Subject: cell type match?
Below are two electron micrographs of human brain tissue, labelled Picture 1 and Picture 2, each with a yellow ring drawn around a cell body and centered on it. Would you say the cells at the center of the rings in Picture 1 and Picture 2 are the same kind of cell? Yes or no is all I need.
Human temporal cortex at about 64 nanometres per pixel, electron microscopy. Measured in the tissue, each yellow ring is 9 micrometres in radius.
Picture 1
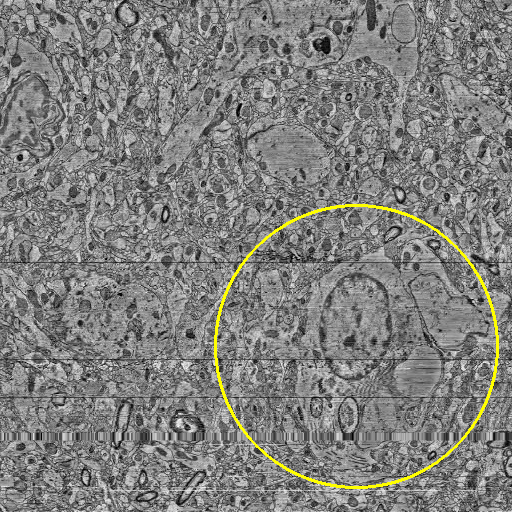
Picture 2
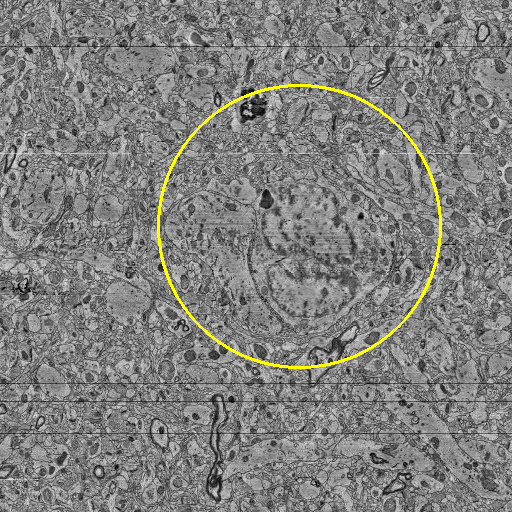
no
